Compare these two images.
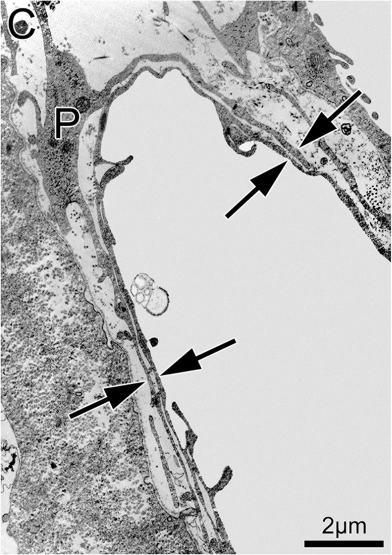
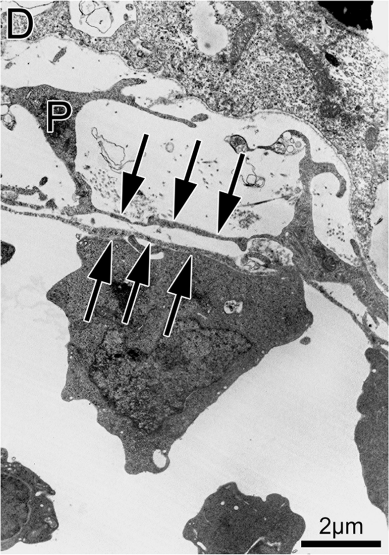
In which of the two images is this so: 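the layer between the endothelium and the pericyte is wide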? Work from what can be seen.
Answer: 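First image: the pericyte lies close along the thin endothelial lining with only a narrow gap. That points to this answer: the second image.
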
